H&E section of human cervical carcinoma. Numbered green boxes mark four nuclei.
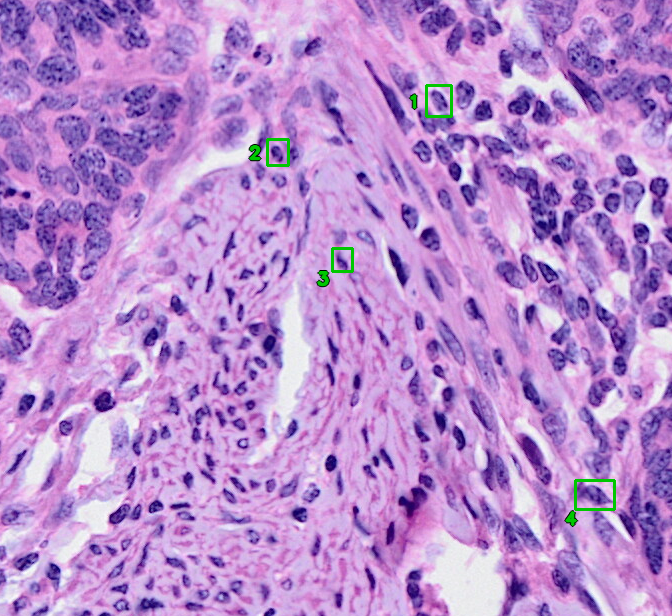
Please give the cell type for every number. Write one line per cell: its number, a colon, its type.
1: lymphocyte
2: lymphocyte
3: smooth muscle cell
4: lymphocyte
